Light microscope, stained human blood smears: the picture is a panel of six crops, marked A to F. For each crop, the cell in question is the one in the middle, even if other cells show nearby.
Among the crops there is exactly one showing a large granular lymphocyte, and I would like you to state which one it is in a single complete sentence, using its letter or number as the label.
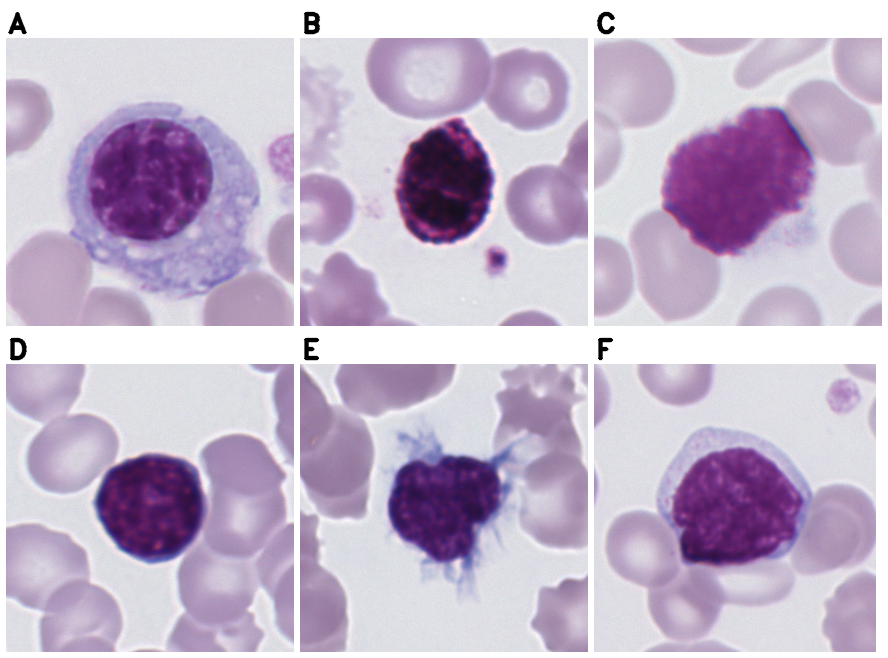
Of the labelled crops, the one that shows a large granular lymphocyte is crop F.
